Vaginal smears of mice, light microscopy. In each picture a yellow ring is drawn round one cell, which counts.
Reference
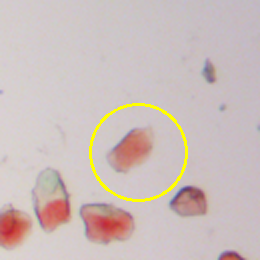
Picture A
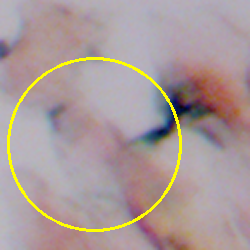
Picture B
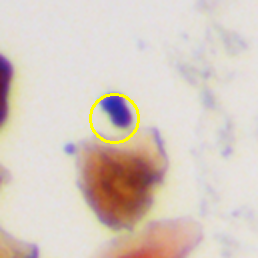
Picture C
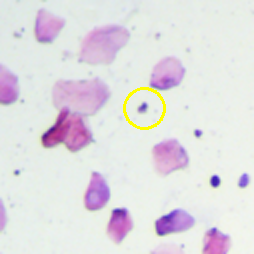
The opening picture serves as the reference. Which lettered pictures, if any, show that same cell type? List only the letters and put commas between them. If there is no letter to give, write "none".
A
